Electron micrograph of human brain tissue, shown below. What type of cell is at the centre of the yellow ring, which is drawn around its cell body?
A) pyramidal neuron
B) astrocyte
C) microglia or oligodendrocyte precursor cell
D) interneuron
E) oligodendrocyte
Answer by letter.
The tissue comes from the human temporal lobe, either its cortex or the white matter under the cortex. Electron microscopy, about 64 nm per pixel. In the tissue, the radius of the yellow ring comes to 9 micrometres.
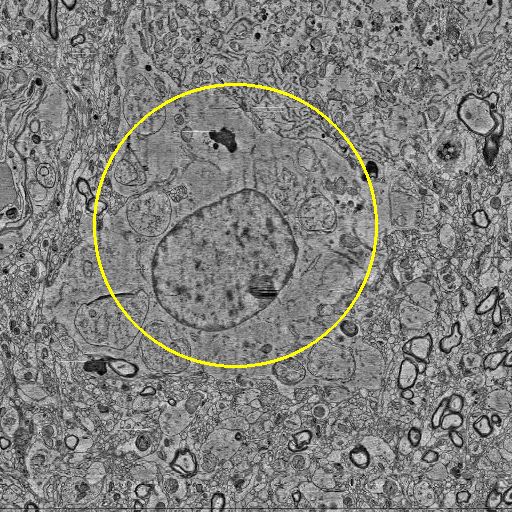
B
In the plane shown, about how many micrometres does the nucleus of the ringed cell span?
In this plane the nucleus measures roughly 10 by 8 micrometers.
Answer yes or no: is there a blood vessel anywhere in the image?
Yes, one appears.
